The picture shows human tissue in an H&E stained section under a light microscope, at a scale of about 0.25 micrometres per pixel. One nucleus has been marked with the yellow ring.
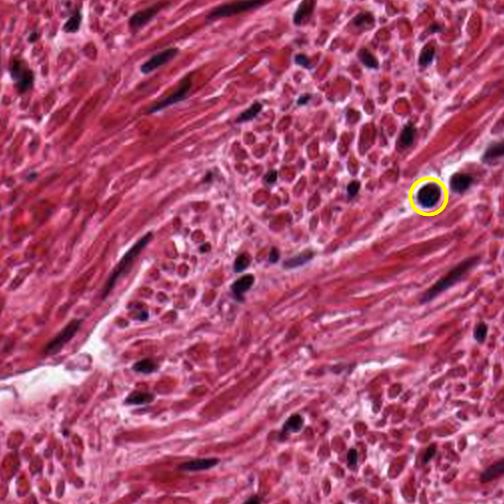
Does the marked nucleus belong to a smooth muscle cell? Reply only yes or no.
no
